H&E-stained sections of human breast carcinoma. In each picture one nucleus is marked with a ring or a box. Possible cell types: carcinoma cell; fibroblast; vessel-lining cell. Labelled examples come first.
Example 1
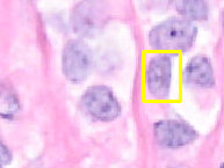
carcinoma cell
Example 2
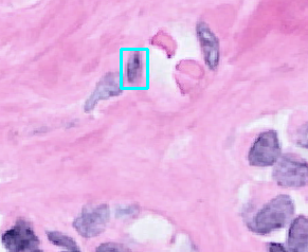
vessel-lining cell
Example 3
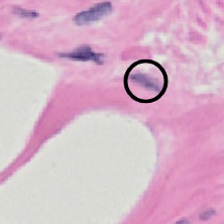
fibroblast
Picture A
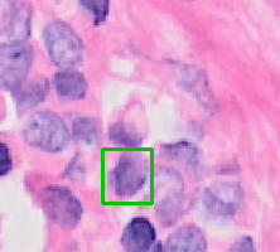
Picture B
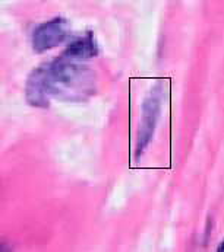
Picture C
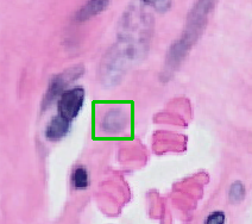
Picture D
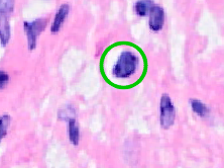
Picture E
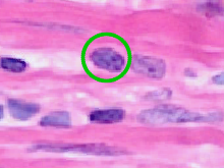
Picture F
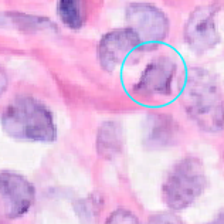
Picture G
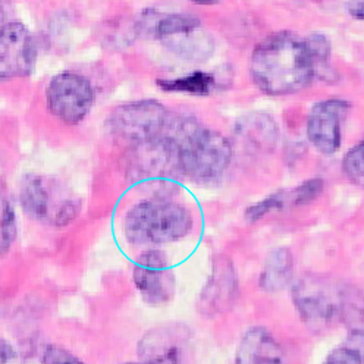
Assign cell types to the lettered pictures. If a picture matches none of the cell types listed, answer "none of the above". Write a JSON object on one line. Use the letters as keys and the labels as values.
{"A": "carcinoma cell", "B": "fibroblast", "C": "vessel-lining cell", "D": "none of the above", "E": "none of the above", "F": "carcinoma cell", "G": "carcinoma cell"}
